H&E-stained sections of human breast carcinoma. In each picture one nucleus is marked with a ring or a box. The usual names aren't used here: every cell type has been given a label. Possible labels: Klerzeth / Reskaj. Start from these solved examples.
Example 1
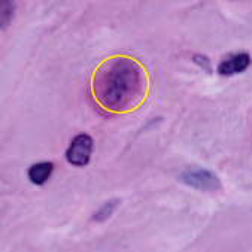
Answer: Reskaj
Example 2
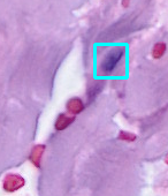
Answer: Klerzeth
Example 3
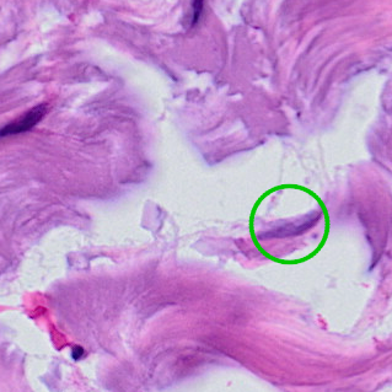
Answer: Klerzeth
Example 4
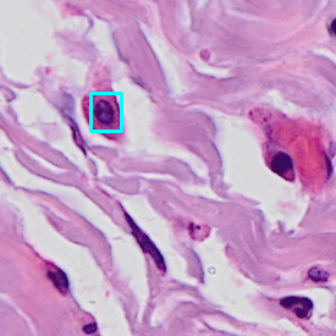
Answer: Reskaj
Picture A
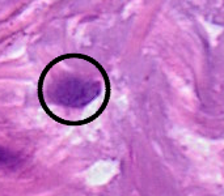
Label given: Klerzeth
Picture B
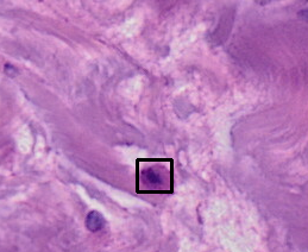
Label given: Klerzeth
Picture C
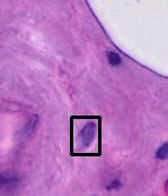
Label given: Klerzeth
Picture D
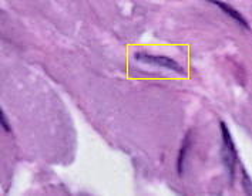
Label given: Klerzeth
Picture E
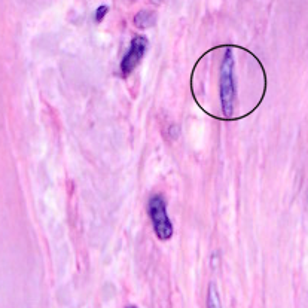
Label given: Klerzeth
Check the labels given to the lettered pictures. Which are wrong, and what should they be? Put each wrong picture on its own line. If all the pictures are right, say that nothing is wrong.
B should be Reskaj, not Klerzeth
